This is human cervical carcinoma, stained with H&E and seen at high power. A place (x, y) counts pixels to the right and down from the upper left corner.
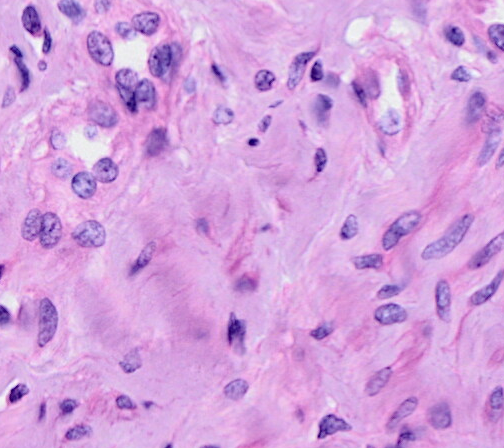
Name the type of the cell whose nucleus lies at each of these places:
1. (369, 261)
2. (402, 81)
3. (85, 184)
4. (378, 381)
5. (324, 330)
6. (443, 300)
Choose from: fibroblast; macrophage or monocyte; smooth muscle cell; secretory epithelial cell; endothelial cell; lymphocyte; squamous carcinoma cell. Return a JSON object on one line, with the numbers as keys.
{"1": "smooth muscle cell", "2": "endothelial cell", "3": "endothelial cell", "4": "smooth muscle cell", "5": "smooth muscle cell", "6": "smooth muscle cell"}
